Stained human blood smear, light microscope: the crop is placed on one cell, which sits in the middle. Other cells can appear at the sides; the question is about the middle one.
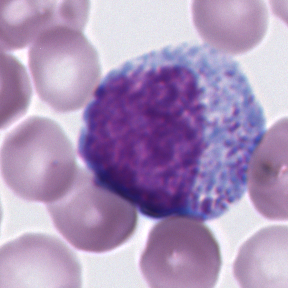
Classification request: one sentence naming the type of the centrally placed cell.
Where the crop is centred, there is a promyelocyte.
